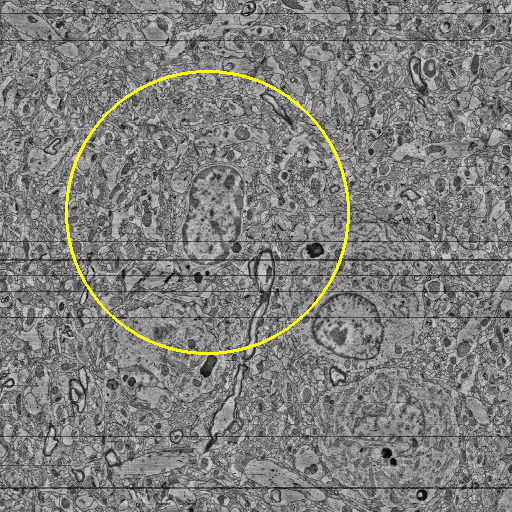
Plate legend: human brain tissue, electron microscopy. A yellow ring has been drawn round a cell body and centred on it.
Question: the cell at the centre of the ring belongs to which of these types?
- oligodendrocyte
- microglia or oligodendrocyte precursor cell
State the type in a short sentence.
The cell in the middle of the ring is a microglial cell or oligodendrocyte precursor cell.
